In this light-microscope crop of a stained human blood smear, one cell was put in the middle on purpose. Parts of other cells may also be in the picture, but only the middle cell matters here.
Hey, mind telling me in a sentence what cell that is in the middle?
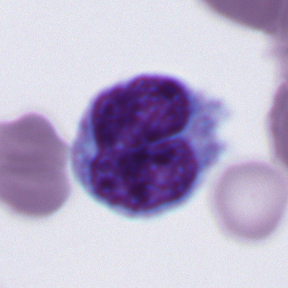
The central element of this crop is a cell, namely a monocyte.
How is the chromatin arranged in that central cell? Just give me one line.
Its nuclear chromatin is gathered into coarse clumps.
